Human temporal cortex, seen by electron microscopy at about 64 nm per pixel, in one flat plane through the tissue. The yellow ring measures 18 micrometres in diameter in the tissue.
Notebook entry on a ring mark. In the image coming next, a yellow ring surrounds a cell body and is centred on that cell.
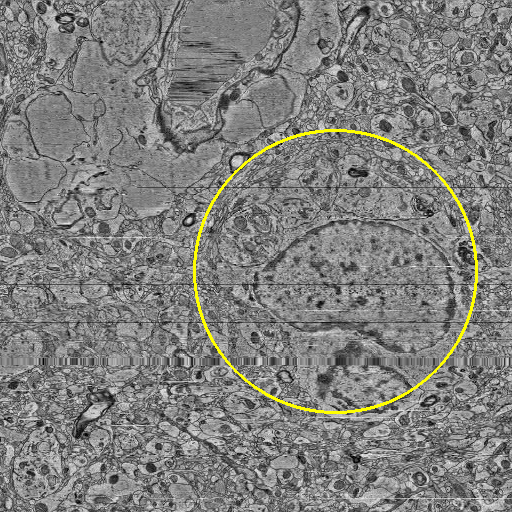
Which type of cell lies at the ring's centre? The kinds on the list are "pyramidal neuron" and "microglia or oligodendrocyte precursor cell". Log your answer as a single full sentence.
Centred in the yellow ring is a microglial cell or oligodendrocyte precursor cell, the cell recorded for this image.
